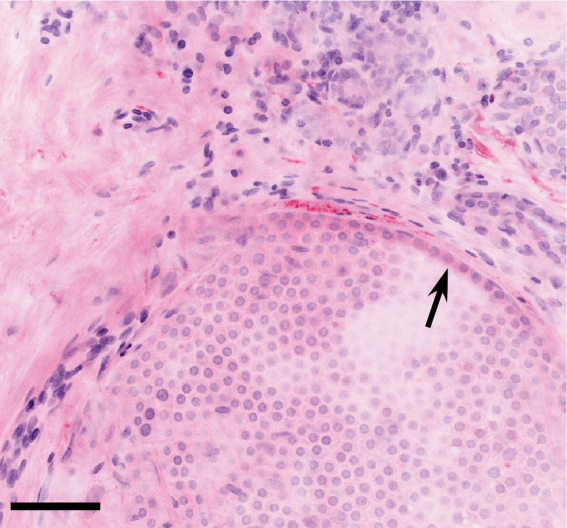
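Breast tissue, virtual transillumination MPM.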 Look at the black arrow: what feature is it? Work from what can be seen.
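Distinct border. The arrow points to the curved outer edge of a broad sheet of evenly spaced round nuclei. Outside the edge lie elongated dark nuclei and denser stroma.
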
